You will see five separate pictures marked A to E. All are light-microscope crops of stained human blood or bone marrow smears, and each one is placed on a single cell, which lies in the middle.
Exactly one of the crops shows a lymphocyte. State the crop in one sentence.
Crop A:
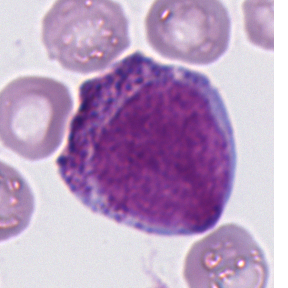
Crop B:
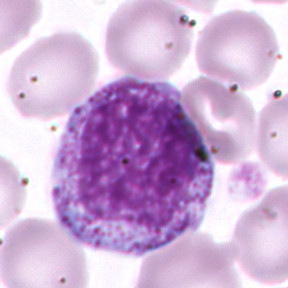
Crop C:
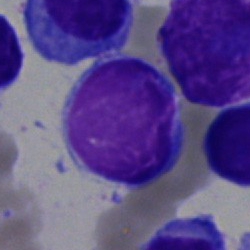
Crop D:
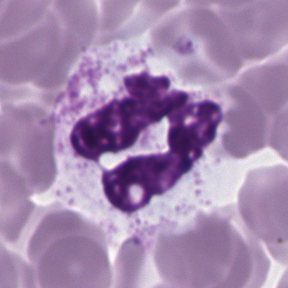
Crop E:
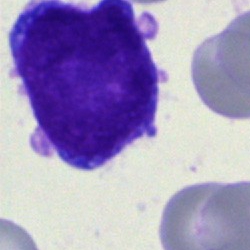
Crop C is the one in the set with a lymphocyte at the center.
